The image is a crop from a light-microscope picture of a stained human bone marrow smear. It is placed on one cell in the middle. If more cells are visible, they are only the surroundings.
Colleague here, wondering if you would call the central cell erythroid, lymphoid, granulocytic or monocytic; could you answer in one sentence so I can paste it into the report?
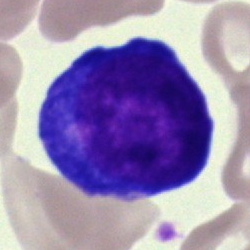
The cell at the center of the crop is assigned erythroid lineage.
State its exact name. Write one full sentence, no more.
Centred in the crop is a proerythroblast.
